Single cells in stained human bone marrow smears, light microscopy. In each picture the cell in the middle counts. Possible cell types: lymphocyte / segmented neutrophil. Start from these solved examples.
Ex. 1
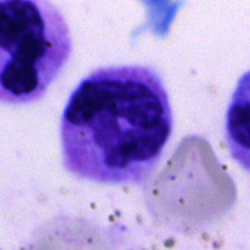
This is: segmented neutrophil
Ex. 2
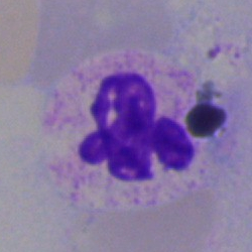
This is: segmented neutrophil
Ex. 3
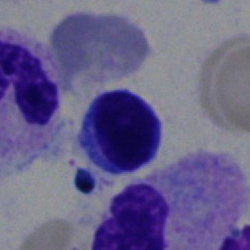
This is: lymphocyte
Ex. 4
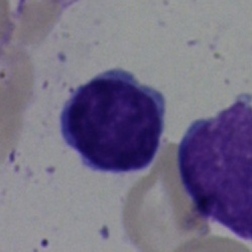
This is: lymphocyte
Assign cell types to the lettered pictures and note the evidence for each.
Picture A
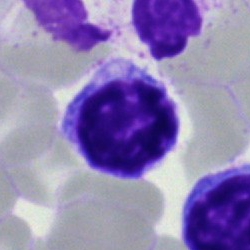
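lymphocyte: The nucleus fills most of the cell.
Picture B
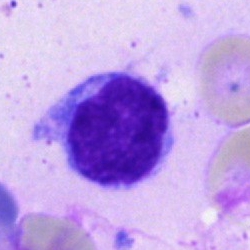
lymphocyte: The cytoplasm is scant.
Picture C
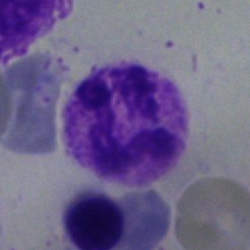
segmented neutrophil: Fine purple granules are scattered through the cytoplasm.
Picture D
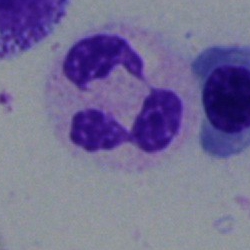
segmented neutrophil: The cytoplasm is plentiful and pale pink.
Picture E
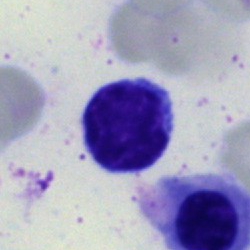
lymphocyte: The nucleus fills almost the whole cell, leaving at most a very thin rim of cytoplasm.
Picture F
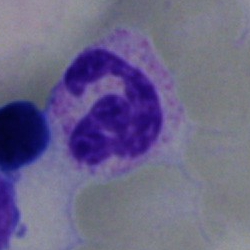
segmented neutrophil: The nucleus is a thick curved band bent into a C-like shape around a paler central area.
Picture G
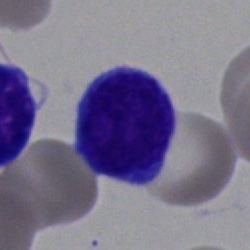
lymphocyte: Cytoplasm is at most a very thin rim that is barely visible around the nucleus.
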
